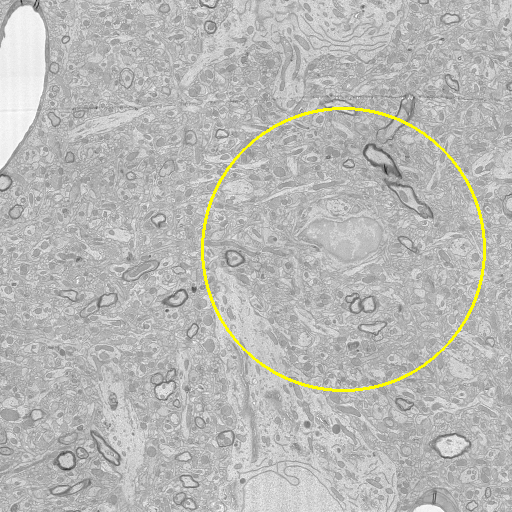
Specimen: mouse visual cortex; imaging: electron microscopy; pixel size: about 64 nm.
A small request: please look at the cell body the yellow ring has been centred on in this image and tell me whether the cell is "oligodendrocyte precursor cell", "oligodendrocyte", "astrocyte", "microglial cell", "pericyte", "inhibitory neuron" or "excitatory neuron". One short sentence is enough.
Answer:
The cell marked by the ring is a microglial cell.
